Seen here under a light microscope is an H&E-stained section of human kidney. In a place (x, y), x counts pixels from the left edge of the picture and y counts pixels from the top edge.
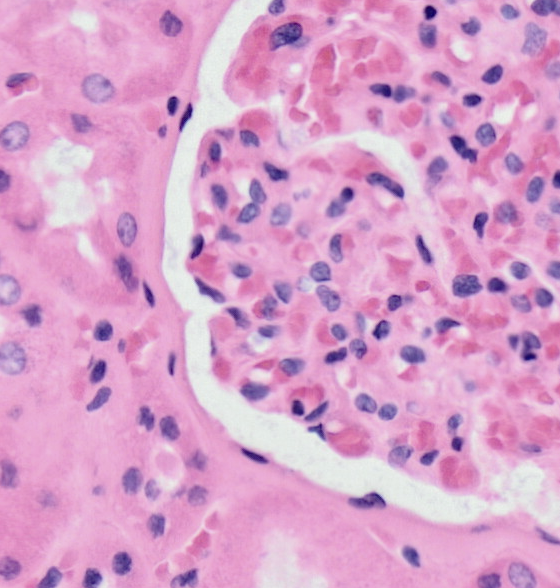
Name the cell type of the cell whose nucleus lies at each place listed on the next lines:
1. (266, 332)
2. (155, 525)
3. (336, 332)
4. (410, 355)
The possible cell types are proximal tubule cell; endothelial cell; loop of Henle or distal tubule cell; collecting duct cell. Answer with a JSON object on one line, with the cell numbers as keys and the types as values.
{"1": "endothelial cell", "2": "loop of Henle or distal tubule cell", "3": "endothelial cell", "4": "endothelial cell"}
